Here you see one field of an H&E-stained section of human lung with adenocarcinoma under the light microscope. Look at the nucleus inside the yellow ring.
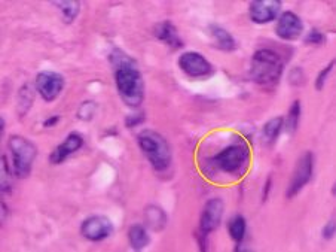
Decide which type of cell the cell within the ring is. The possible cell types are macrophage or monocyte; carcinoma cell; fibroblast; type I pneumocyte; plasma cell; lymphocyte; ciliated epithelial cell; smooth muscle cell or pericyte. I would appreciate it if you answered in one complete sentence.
In the stained section, the cell within the ring is a plasma cell.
